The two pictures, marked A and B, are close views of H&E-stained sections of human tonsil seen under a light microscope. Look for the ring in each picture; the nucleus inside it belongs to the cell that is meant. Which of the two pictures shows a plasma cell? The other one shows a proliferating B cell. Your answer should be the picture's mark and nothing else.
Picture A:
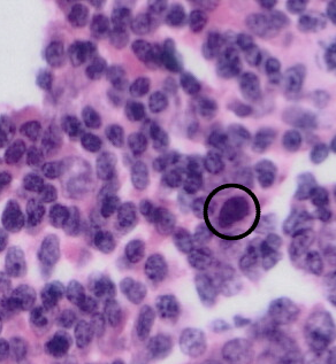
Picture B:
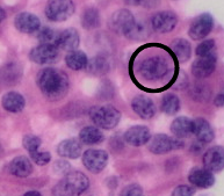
B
